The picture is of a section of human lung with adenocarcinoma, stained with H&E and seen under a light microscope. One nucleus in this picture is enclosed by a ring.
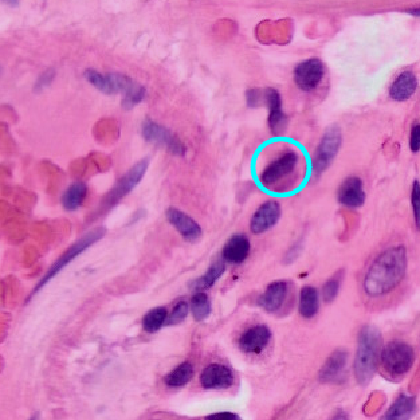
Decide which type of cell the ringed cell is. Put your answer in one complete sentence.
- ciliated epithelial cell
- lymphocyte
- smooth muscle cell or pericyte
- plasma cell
As for its identity, the ringed cell is a plasma cell.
